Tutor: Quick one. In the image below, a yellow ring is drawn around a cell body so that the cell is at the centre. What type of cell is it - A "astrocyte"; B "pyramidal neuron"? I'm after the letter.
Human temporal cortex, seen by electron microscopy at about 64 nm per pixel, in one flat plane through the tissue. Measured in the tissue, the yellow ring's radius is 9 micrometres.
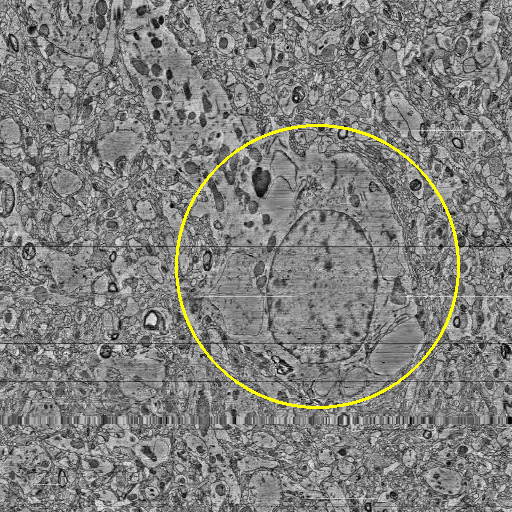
A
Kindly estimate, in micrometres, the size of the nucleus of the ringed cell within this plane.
The nucleus is approximately 10 micrometers long by 7 micrometers wide in this plane.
